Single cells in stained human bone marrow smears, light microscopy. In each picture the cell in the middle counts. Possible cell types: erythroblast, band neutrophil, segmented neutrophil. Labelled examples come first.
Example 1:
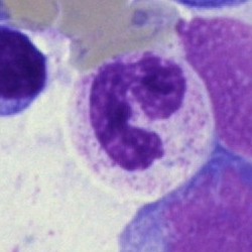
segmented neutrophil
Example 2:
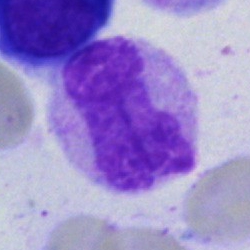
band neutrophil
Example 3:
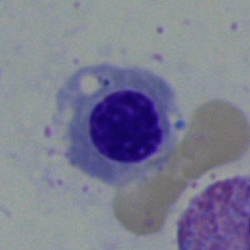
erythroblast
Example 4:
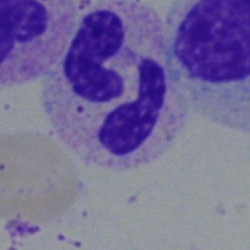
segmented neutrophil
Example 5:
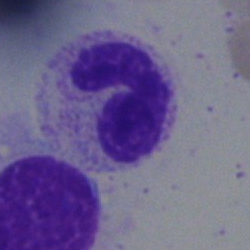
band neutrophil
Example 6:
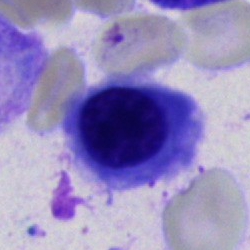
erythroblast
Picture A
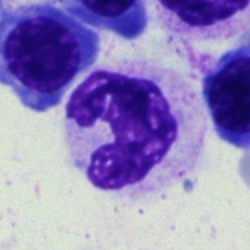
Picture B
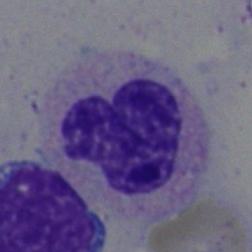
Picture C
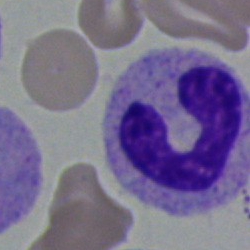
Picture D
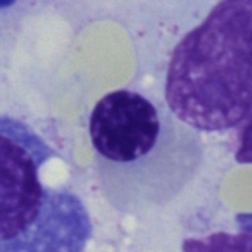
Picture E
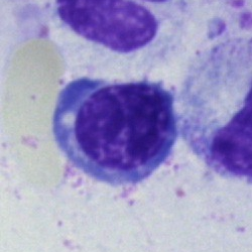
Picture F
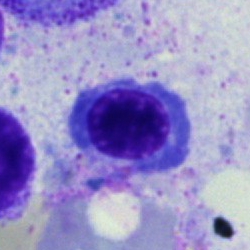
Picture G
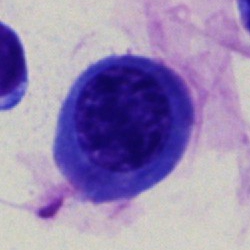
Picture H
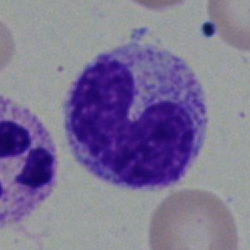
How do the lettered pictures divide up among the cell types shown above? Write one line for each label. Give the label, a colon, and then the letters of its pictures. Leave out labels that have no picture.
erythroblast: D, E, F, G
band neutrophil: A, B, C, H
